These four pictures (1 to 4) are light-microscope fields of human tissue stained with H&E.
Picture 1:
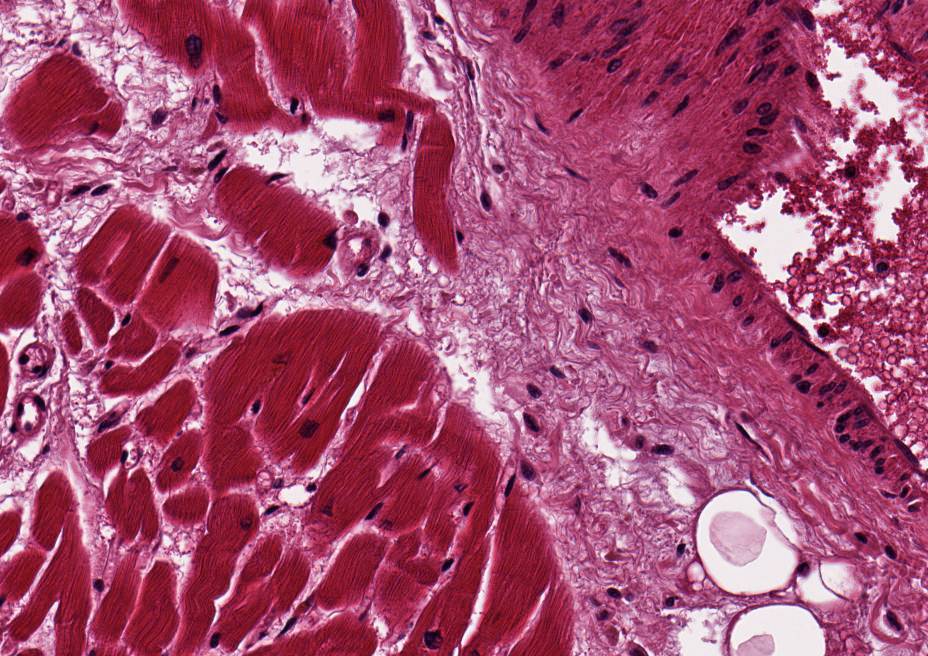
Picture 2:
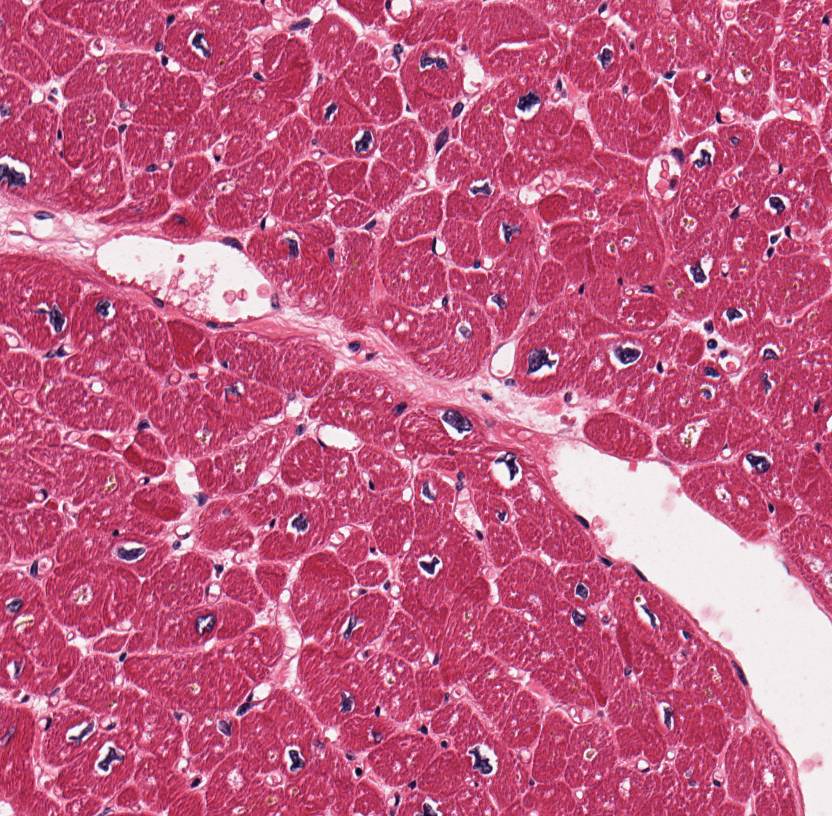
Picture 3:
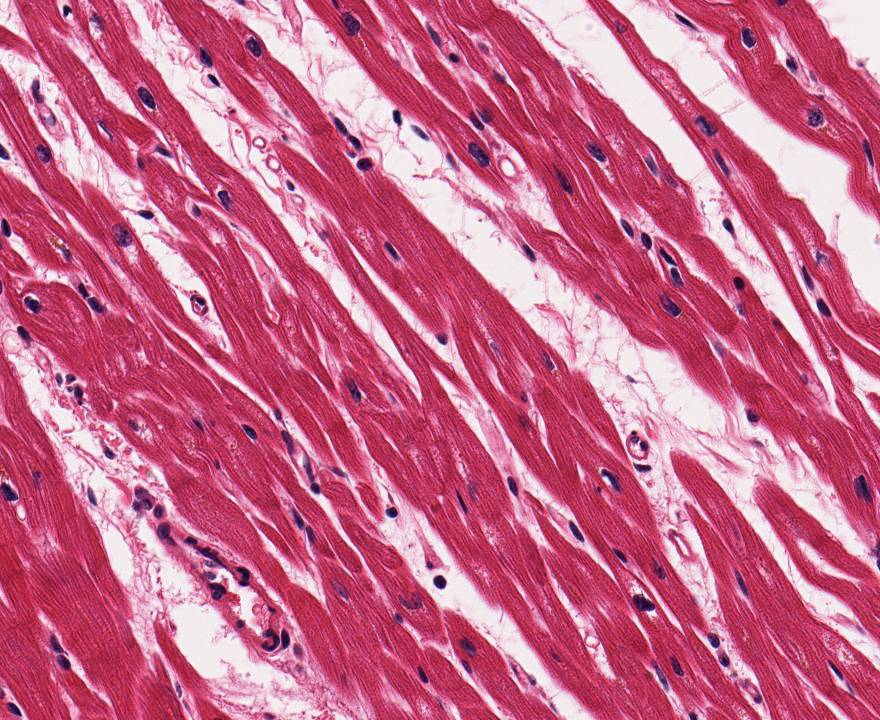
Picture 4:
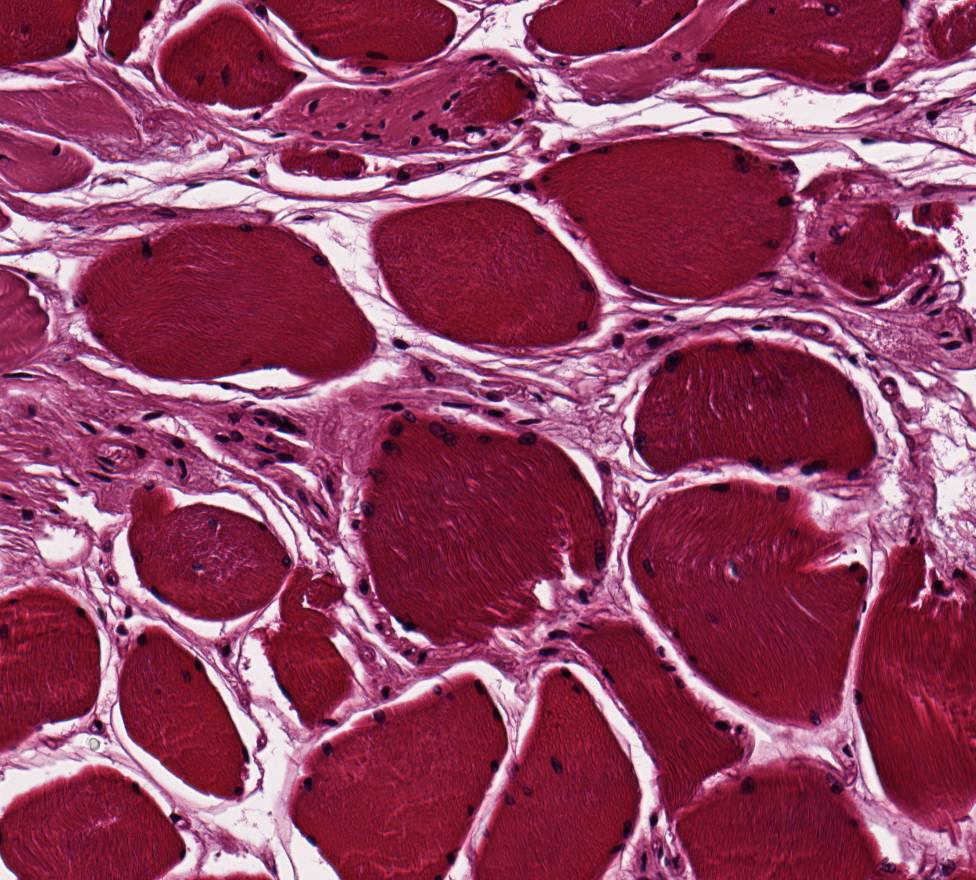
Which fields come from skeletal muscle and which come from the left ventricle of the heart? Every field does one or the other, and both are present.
1: left ventricle of the heart
2: left ventricle of the heart
3: left ventricle of the heart
4: skeletal muscle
